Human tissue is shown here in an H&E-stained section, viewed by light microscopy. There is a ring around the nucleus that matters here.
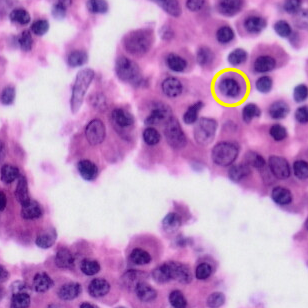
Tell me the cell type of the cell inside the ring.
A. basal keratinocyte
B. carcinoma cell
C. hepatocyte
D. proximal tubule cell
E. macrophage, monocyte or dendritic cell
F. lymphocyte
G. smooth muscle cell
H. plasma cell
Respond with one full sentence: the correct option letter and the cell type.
Under option H, the cell inside the ring is a plasma cell, which is the correct identification.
